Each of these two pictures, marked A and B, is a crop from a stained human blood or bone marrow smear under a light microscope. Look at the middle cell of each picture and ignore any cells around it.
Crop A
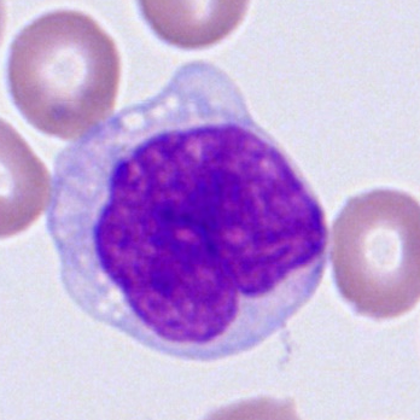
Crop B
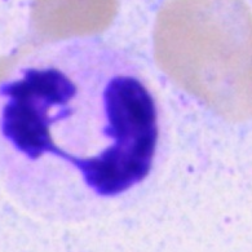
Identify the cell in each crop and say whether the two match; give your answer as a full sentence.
No, the cell that crop A shows is a monocyte, and the one crop B shows is a neutrophil.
